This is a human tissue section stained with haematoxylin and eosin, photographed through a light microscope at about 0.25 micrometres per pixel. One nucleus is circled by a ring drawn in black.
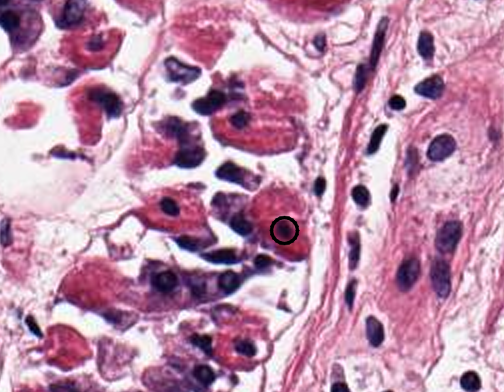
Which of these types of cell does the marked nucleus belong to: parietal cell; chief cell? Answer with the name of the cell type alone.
parietal cell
